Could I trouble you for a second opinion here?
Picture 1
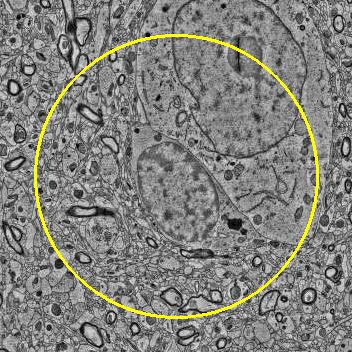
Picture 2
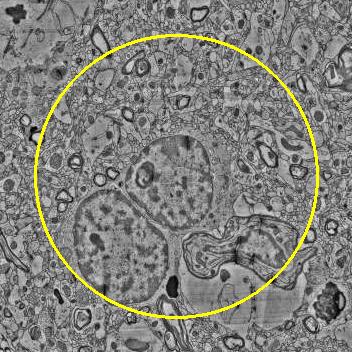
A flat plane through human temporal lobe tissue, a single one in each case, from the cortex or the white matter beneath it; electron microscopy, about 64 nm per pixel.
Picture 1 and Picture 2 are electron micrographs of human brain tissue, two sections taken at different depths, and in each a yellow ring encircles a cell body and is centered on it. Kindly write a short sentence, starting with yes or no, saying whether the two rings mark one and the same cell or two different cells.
No, the circled cells number two, not one.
